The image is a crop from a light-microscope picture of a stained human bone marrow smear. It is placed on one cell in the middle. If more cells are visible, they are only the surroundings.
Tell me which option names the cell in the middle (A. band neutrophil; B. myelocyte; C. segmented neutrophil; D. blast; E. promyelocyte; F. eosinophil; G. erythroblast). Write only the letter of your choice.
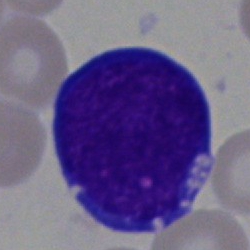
D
